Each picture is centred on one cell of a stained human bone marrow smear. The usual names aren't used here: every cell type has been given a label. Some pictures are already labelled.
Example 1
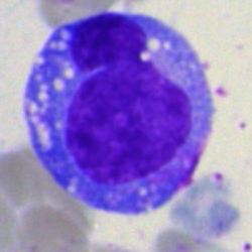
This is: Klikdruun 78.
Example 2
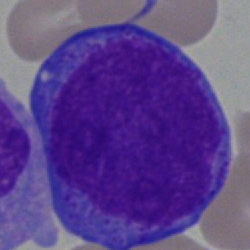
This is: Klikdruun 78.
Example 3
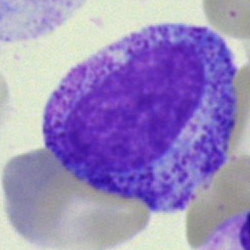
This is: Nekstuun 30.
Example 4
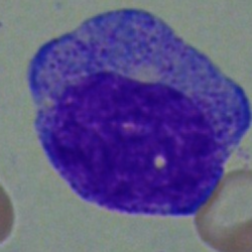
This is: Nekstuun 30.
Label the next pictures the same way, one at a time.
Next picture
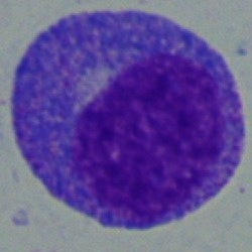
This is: Nekstuun 30.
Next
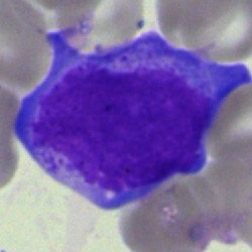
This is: Klikdruun 78.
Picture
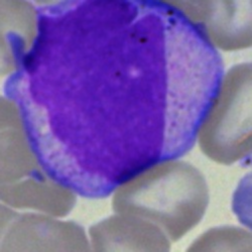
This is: Klikdruun 78.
